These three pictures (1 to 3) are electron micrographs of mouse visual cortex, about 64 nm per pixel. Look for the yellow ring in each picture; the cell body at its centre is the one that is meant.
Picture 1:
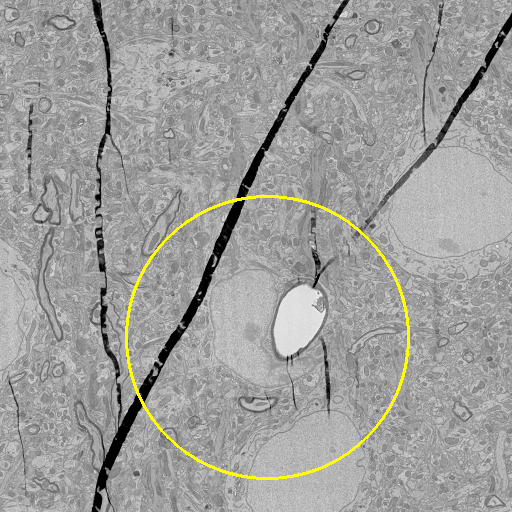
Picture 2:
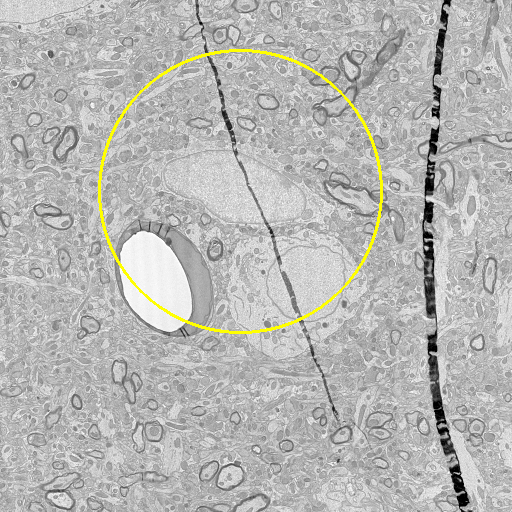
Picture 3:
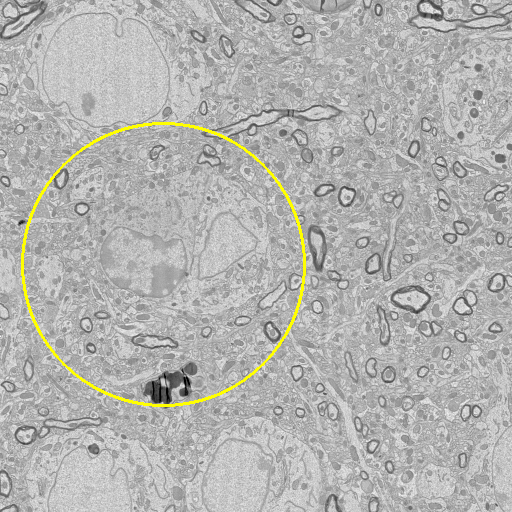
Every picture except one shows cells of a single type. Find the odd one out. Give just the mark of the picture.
3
